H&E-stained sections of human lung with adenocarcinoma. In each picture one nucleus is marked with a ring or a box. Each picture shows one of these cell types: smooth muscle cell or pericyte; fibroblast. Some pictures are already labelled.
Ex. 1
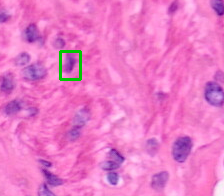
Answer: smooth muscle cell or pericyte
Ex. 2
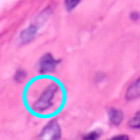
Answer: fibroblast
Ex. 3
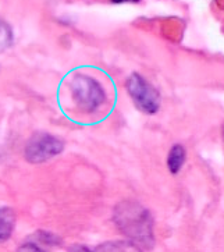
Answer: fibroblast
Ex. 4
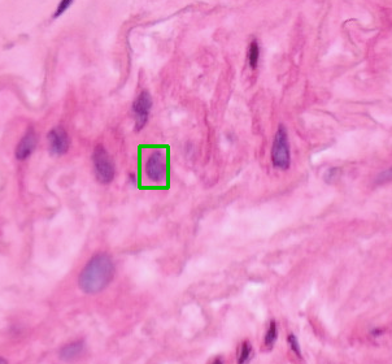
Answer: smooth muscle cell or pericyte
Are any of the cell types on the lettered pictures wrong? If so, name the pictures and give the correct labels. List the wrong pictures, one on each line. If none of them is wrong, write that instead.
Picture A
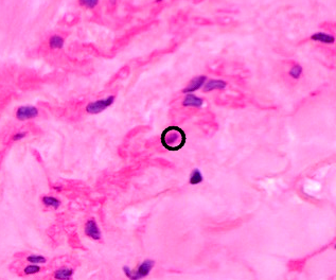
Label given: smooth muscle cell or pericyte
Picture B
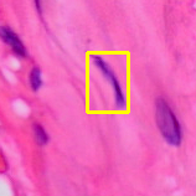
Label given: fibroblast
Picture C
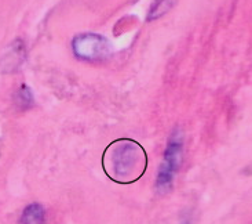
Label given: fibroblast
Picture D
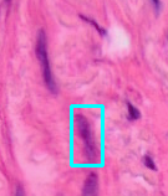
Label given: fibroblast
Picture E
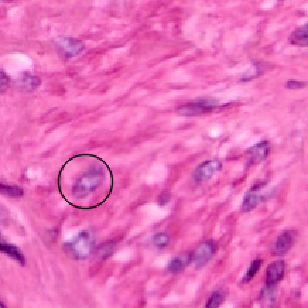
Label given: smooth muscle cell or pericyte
D should be smooth muscle cell or pericyte, not fibroblast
